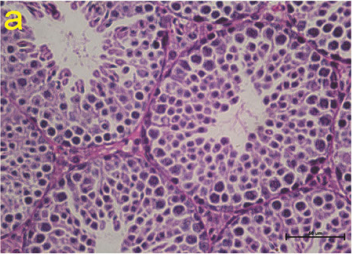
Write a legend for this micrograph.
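This is testis tissue, with cross-sections of seminiferous tubules packed closely together, separated only by thin pink strands of interstitium. Each tubule is lined by a thick epithelium of many layers of round cells with dark purple nuclei. The cells crowd towards a central lumen. The lumen contains pale, wispy pink material.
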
